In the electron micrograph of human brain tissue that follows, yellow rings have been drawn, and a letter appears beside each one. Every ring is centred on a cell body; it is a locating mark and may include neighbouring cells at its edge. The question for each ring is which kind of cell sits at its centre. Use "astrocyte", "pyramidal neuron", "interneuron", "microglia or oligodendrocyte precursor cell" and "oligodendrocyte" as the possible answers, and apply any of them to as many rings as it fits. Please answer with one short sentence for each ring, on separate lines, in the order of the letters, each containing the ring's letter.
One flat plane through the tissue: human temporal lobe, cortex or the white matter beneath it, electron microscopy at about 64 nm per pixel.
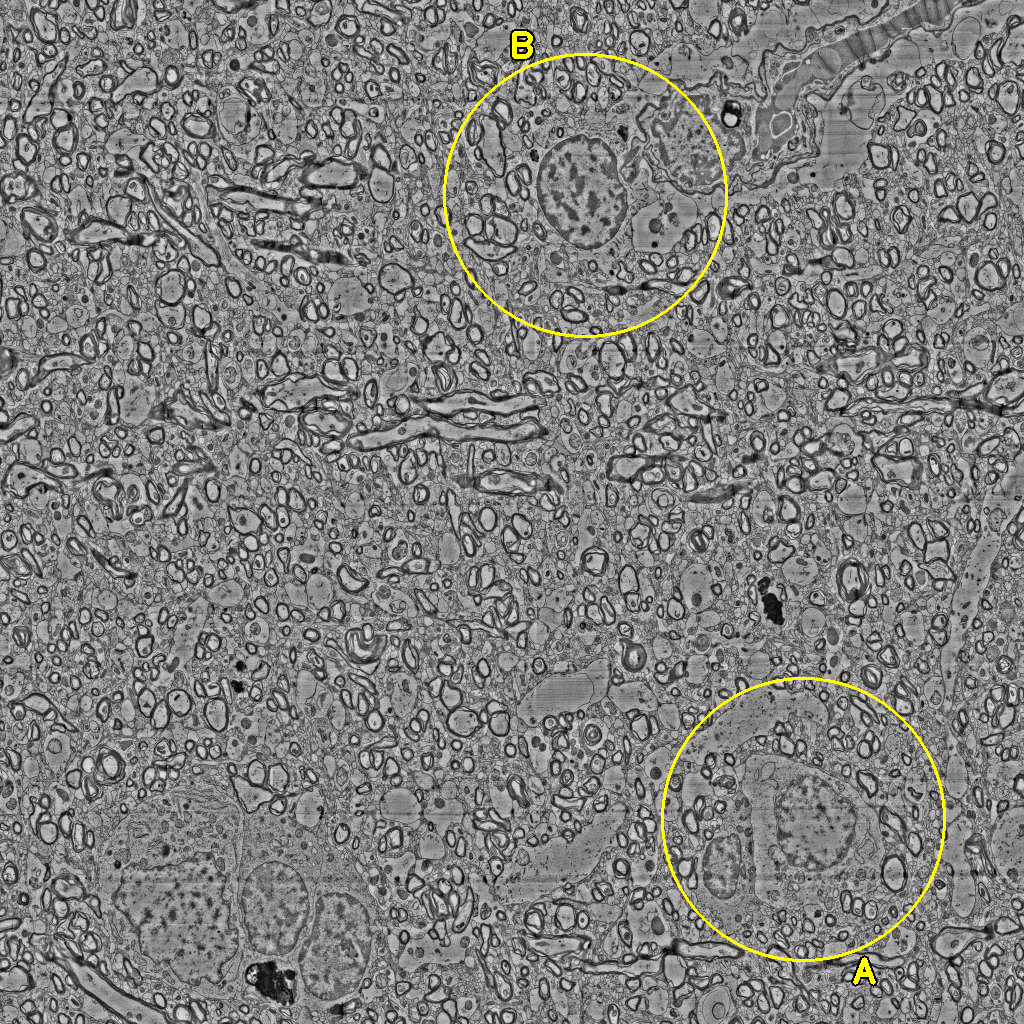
Sitting at the centre of ring A is an interneuron.
Sitting at the centre of ring B is a microglial cell or oligodendrocyte precursor cell.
